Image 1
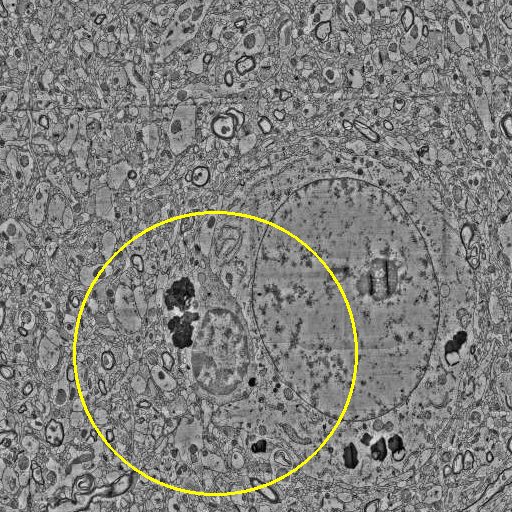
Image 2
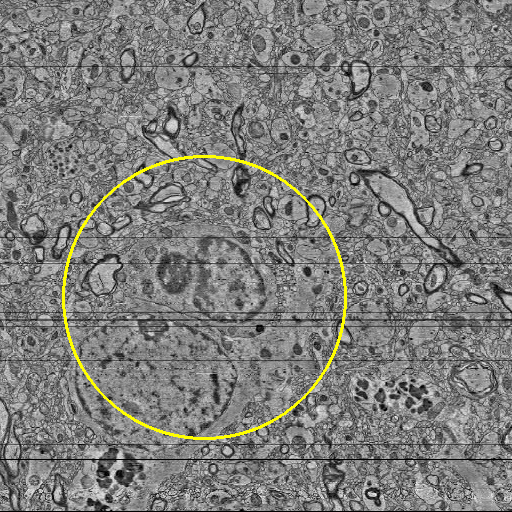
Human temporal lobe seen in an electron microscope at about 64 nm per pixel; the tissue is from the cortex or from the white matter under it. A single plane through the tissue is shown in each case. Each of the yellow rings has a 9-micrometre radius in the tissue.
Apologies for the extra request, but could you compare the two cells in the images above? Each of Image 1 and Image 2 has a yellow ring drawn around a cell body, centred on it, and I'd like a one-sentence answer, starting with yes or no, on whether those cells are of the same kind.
Yes, both cells are of the same kind.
